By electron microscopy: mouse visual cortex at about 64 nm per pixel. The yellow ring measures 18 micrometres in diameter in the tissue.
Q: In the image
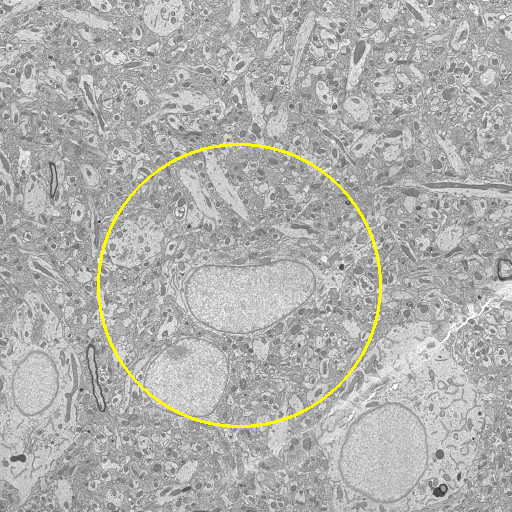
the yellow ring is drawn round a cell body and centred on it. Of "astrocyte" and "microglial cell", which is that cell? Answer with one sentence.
The cell centred in the ring is an astrocyte.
